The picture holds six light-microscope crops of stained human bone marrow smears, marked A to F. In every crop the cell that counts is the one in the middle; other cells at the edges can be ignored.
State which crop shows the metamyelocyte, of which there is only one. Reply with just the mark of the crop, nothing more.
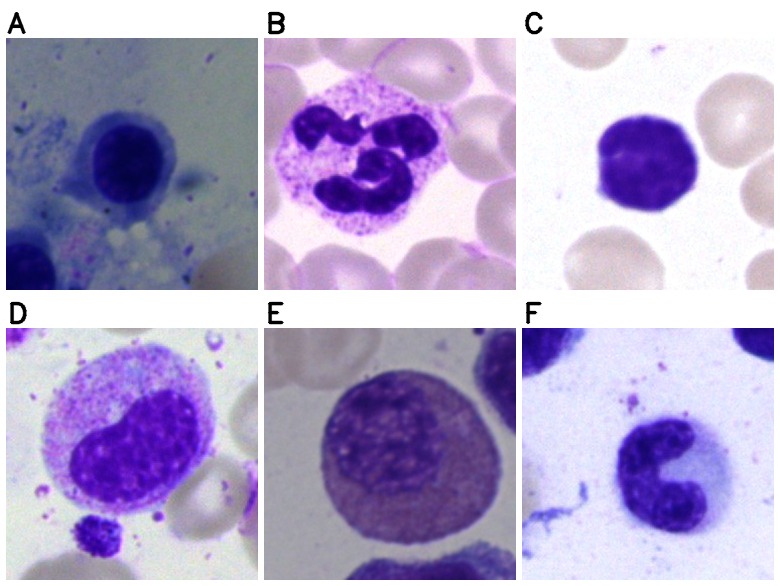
D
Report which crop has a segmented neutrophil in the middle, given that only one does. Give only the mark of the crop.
B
